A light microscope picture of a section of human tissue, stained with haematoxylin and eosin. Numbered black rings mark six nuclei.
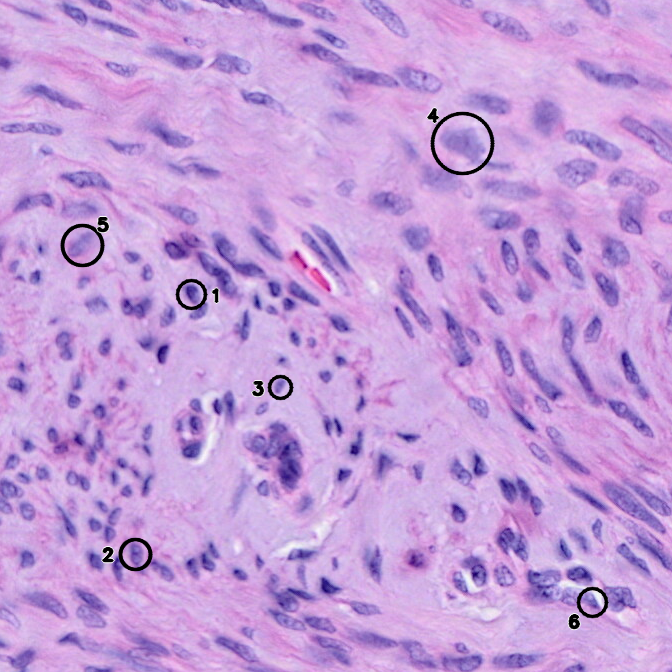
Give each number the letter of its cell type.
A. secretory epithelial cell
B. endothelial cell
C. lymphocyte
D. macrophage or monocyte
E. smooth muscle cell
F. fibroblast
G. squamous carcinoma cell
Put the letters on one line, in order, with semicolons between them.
F; E; F; F; E; B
